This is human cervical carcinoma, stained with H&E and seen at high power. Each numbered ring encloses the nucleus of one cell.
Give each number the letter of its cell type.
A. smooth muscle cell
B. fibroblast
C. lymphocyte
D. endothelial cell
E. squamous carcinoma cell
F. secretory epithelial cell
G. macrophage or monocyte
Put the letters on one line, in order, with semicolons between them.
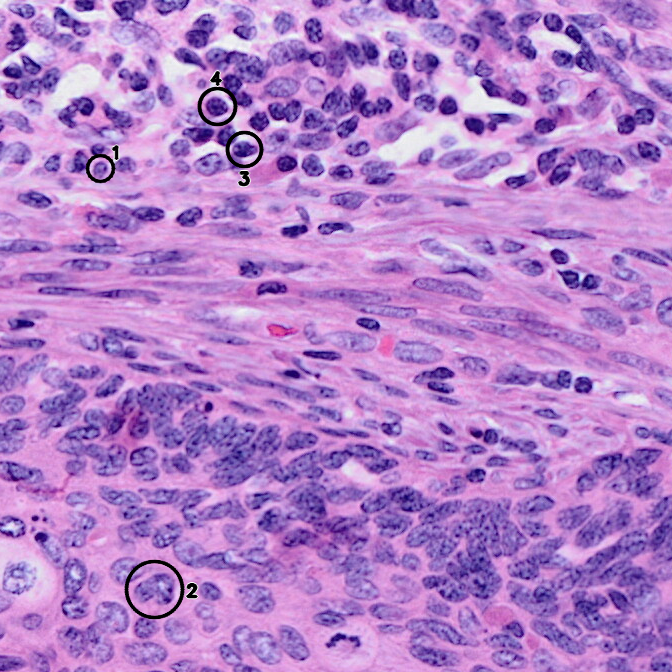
C; E; C; C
